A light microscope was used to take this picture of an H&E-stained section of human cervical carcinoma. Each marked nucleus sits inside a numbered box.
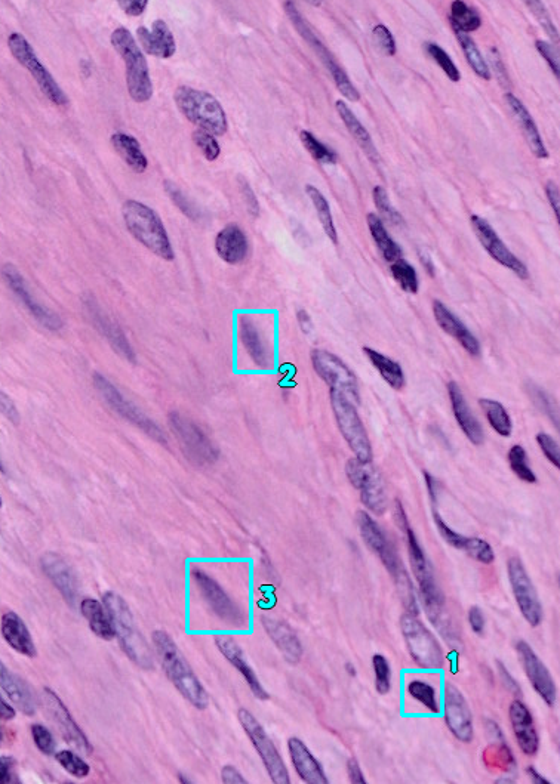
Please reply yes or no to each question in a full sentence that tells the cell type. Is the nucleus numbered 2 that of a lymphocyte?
No, cell 2 is not a lymphocyte. It is a fibroblast.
